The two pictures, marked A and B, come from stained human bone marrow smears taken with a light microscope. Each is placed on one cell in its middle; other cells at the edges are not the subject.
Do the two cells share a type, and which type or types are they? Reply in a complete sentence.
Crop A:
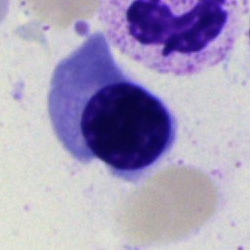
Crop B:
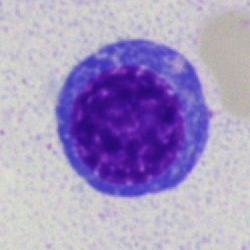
Yes, the two crops are alike in showing normoblasts.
